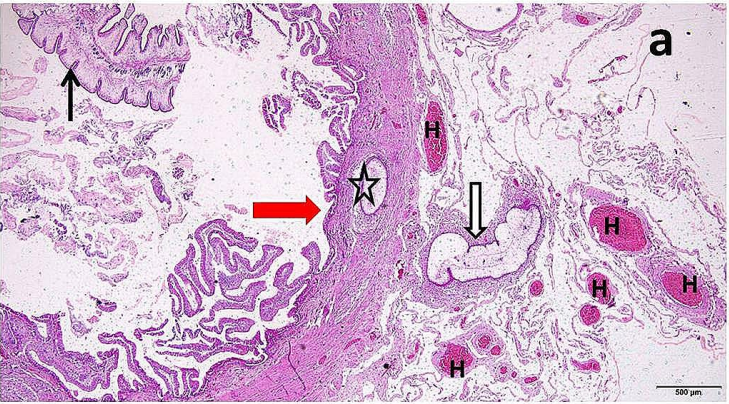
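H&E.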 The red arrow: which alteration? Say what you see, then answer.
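The arrow points at the inner surface of the wall where the lining is irregular and broken. So: Erosions in the intestinal epithelium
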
